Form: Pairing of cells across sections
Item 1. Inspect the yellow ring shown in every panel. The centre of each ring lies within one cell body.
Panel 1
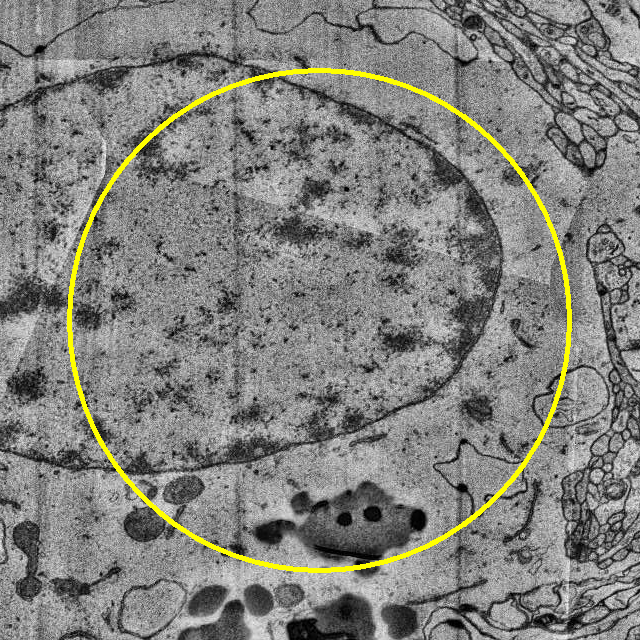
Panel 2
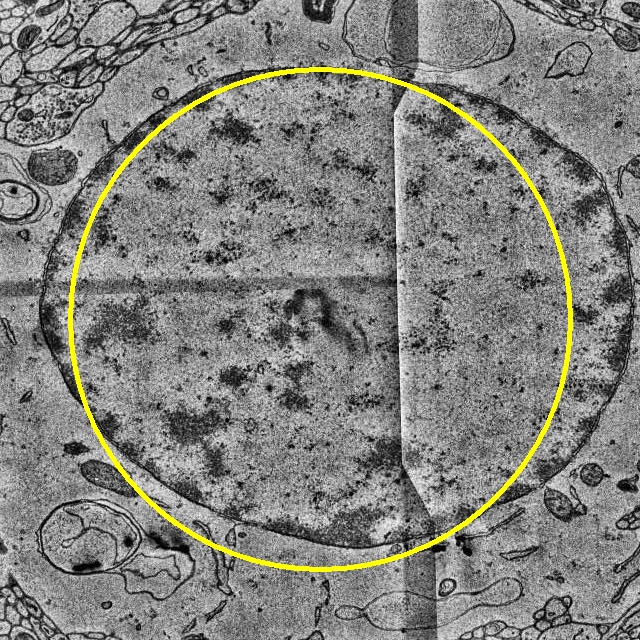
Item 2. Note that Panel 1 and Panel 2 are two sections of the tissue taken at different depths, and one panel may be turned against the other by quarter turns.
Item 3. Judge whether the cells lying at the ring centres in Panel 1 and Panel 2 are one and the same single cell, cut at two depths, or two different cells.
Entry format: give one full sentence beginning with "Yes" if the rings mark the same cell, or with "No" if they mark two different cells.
No, the two rings do not mark one cell; they mark two different cells.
